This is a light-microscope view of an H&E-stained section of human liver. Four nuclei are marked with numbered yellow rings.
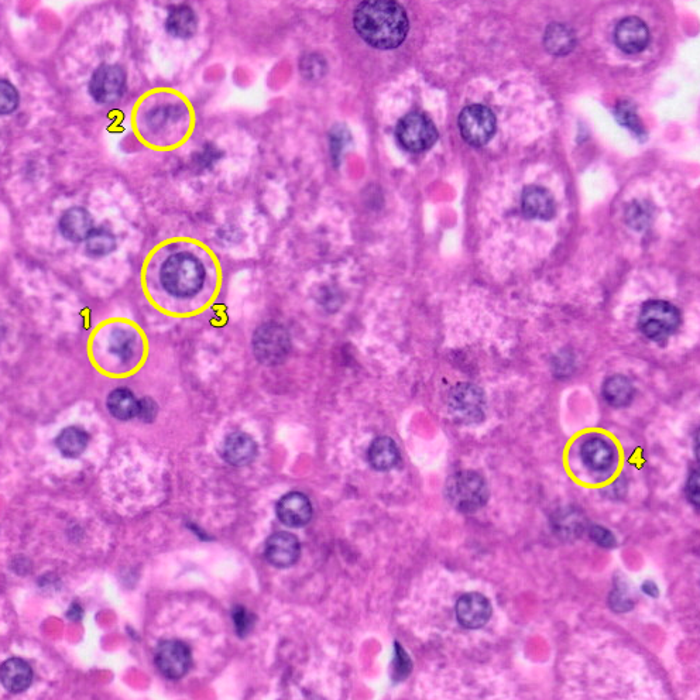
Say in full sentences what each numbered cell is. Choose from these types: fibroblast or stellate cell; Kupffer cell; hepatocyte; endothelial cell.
Cell 1 is an endothelial cell. Cell 2 is a Kupffer cell. Cells 3 and 4 are hepatocytes.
